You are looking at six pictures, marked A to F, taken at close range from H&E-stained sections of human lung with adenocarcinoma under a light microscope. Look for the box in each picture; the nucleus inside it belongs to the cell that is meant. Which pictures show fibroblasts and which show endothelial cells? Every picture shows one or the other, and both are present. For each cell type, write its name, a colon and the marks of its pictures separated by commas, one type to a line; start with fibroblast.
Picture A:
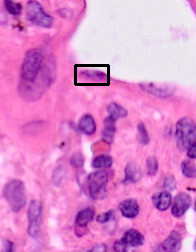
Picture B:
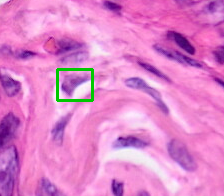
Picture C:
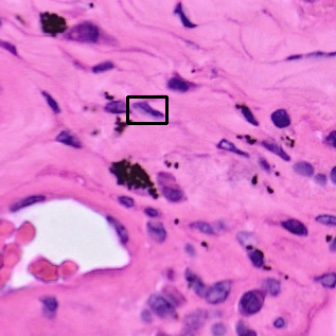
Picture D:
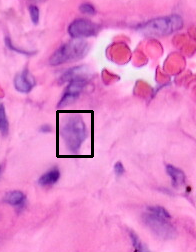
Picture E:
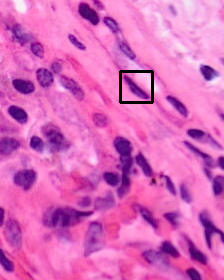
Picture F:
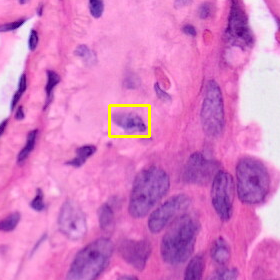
fibroblast: B, C, D, F
endothelial cell: A, E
